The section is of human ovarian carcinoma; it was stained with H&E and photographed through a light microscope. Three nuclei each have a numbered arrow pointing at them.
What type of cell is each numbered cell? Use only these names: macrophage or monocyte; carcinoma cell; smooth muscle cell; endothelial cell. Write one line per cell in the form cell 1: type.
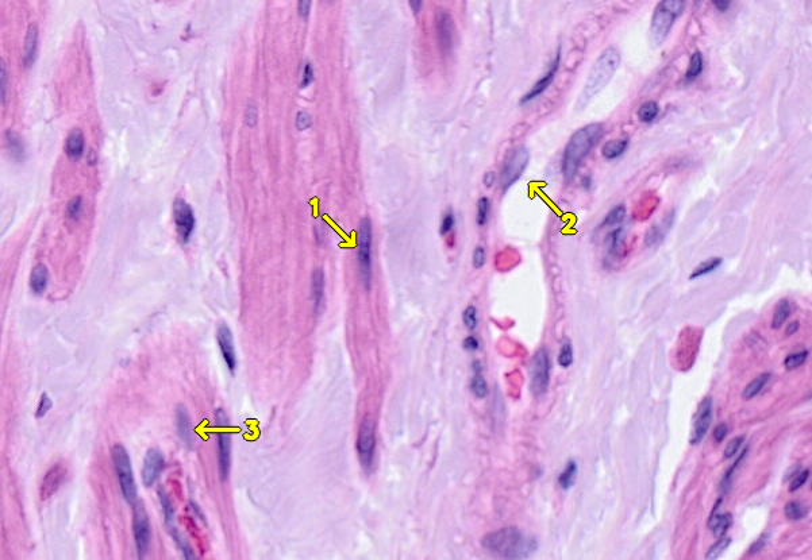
cell 1: smooth muscle cell
cell 2: endothelial cell
cell 3: smooth muscle cell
